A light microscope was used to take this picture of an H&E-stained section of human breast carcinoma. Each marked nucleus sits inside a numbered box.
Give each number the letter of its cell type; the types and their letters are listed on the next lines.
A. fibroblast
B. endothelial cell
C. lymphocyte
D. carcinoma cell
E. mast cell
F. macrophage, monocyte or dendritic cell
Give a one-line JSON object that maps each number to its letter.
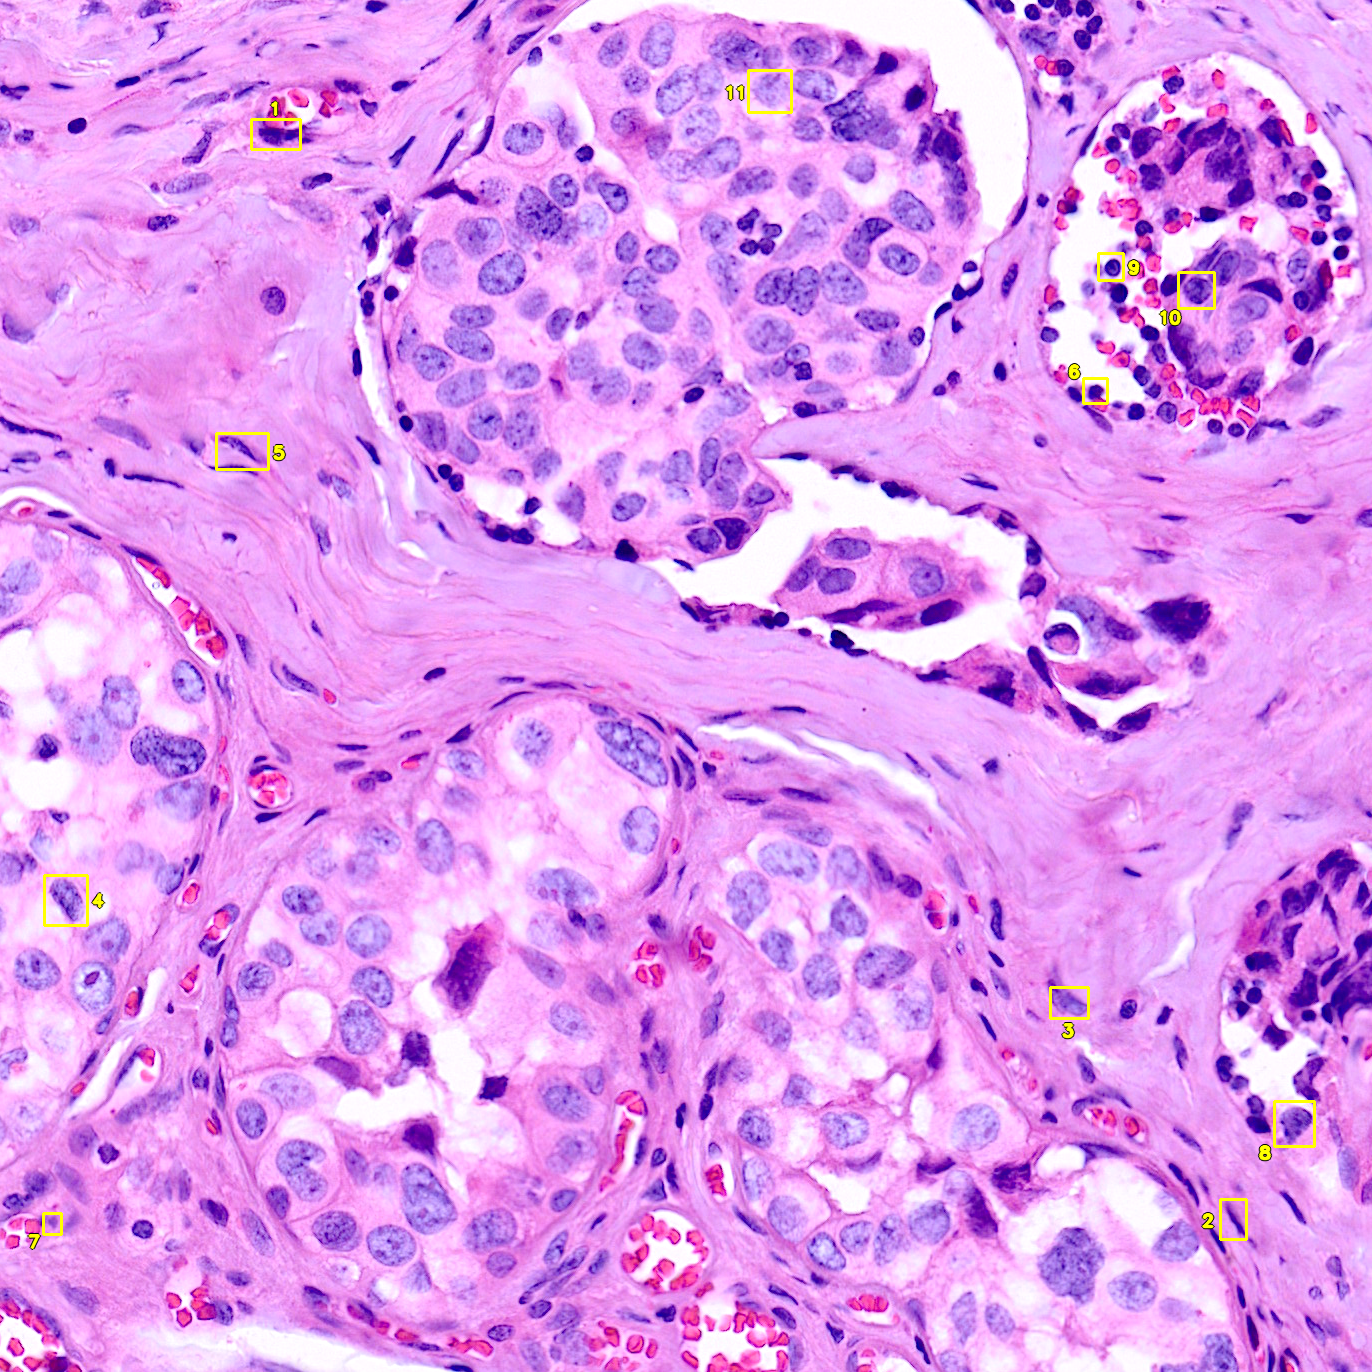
{"1": "B", "2": "A", "3": "A", "4": "D", "5": "A", "6": "C", "7": "B", "8": "D", "9": "C", "10": "D", "11": "D"}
